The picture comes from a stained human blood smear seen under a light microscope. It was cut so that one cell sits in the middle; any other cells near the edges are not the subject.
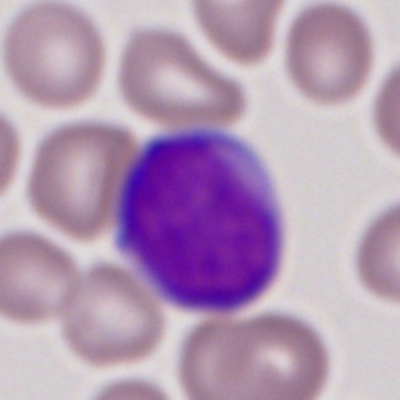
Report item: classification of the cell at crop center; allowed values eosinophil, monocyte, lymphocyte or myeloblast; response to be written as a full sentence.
Answering briefly, the cell in the middle is a myeloblast.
